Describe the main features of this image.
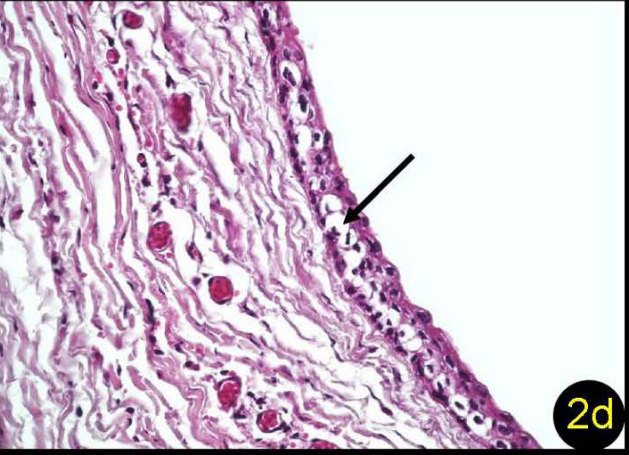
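Here a cystic cavity is lined by a thin epithelium of a few cell layers, among which sit voluminous clear cells with pale, empty-looking cytoplasm. Beneath the lining lies loose, wavy fibrous tissue with small vessels full of red blood cells.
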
